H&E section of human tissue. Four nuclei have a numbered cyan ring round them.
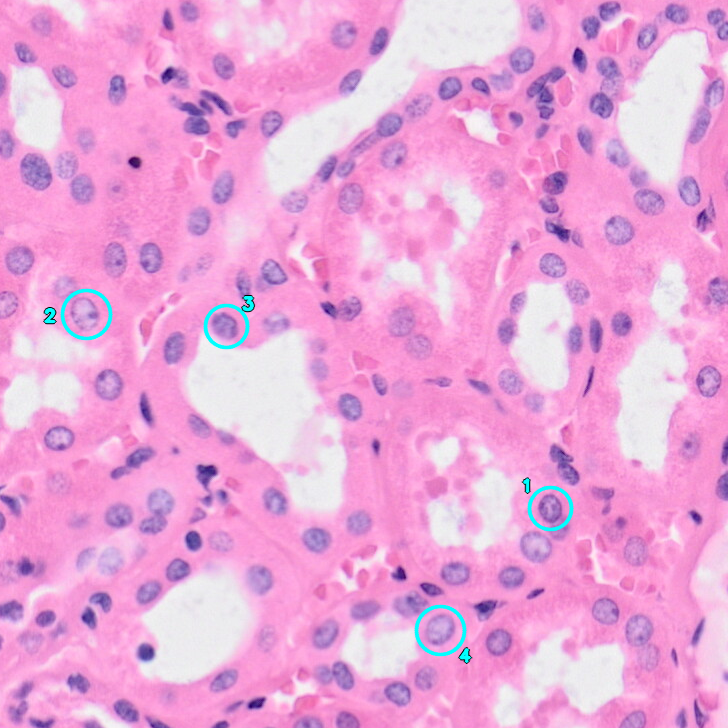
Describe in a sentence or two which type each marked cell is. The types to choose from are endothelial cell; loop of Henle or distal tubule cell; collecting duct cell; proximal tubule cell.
Cell 1 is a proximal tubule cell, cell 2 is a proximal tubule cell, cell 3 is a loop of Henle or distal tubule cell and cell 4 is a collecting duct cell.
